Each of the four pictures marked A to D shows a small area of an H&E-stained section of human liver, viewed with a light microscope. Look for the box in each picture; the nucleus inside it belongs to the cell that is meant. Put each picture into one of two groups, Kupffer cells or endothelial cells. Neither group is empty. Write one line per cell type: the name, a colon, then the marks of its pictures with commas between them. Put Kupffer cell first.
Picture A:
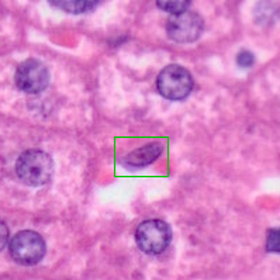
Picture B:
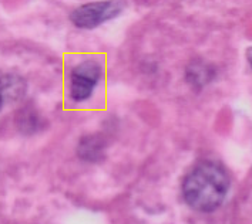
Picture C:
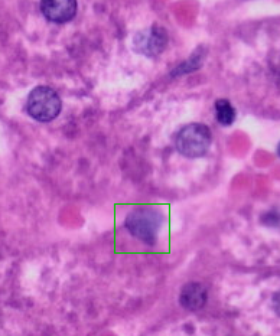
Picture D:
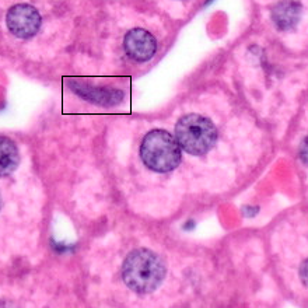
Kupffer cell: A, D
endothelial cell: B, C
